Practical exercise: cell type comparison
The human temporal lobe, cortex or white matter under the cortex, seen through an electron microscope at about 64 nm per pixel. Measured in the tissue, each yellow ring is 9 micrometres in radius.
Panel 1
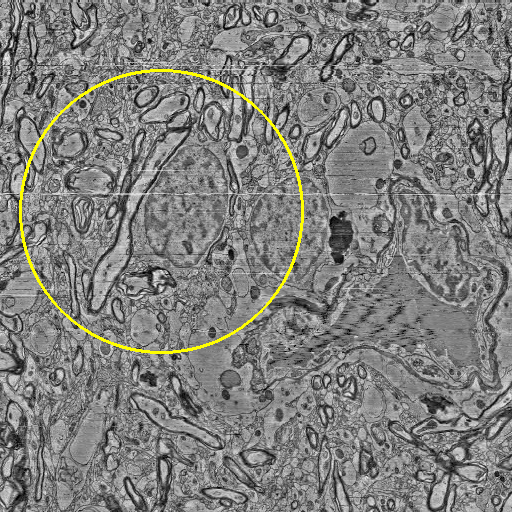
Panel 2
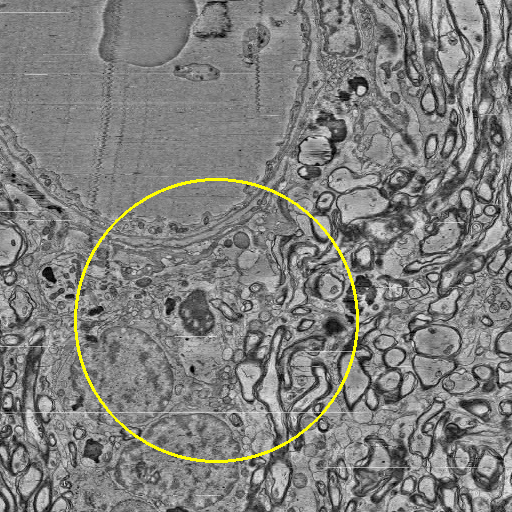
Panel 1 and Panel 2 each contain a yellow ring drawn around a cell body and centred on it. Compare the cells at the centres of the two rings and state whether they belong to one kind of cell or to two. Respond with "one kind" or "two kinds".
two kinds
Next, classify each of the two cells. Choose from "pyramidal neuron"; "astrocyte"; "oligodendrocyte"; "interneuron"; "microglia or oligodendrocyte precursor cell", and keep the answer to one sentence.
In the first picture it is an oligodendrocyte; in the second it is a microglial cell or oligodendrocyte precursor cell.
